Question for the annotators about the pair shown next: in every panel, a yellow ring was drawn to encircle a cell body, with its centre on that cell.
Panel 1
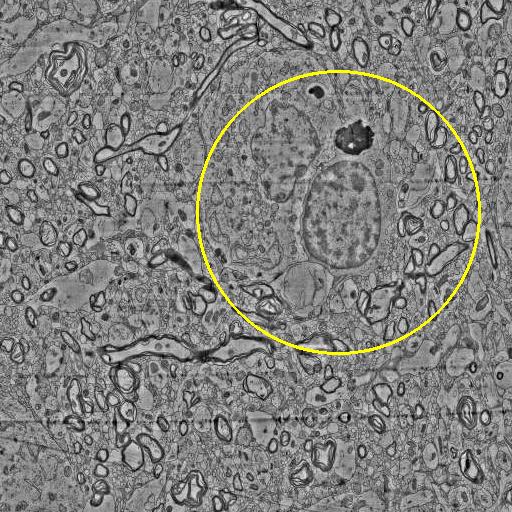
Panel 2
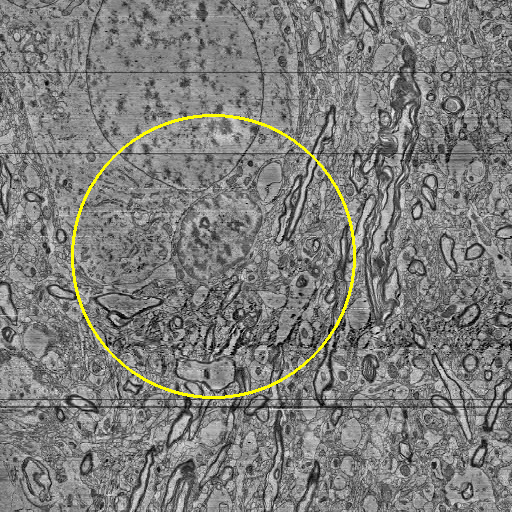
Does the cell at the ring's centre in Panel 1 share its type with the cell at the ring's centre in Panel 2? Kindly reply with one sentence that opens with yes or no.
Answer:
Yes, in Panels 1 and 2 the cells at the ring centres belong to a single type.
